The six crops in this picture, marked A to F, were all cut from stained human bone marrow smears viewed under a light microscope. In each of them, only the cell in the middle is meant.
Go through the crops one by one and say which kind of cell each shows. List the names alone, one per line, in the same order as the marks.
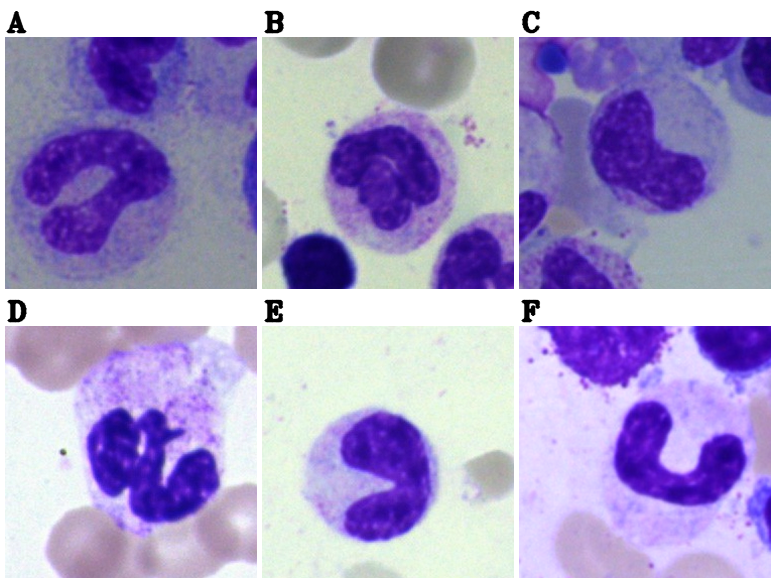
band neutrophil
segmented neutrophil
band neutrophil
segmented neutrophil
band neutrophil
band neutrophil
